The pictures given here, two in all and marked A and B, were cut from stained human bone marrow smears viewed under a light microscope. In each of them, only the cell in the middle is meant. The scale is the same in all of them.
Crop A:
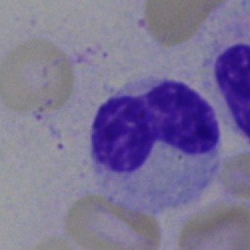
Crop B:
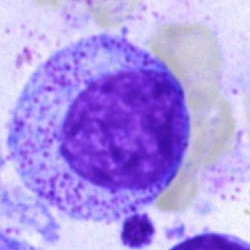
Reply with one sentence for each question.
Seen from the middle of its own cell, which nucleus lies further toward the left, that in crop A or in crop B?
Seen within its cell, the nucleus in crop A lies further toward the left.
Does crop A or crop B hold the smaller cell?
Smaller is the cell in crop A, and the other is about 2 times as large in area.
